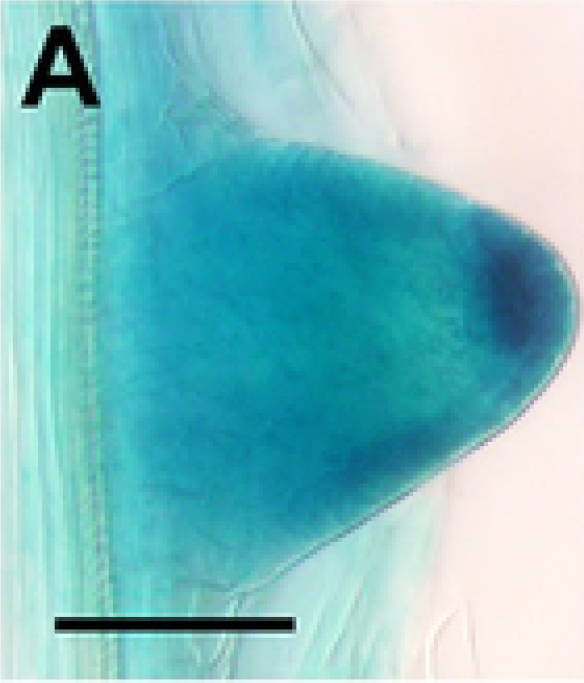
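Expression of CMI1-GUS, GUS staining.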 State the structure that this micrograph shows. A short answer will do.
lateral root initial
